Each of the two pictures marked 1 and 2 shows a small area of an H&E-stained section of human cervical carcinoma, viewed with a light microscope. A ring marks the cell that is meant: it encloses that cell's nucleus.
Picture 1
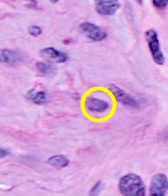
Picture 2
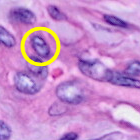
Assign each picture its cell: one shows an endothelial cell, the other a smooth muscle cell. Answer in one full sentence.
The cell in picture 1 is a smooth muscle cell, and the one in picture 2 is an endothelial cell.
